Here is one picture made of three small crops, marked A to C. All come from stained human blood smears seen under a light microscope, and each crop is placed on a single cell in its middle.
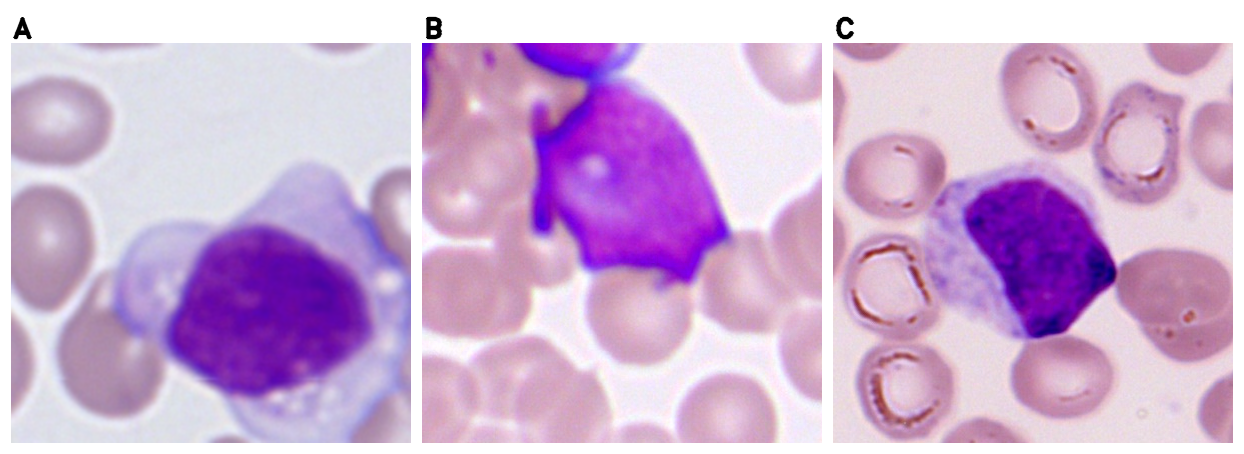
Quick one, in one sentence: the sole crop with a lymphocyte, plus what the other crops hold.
The labels are: crop C is a lymphocyte, and crop A is a monocyte and crop B is a myeloblast.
